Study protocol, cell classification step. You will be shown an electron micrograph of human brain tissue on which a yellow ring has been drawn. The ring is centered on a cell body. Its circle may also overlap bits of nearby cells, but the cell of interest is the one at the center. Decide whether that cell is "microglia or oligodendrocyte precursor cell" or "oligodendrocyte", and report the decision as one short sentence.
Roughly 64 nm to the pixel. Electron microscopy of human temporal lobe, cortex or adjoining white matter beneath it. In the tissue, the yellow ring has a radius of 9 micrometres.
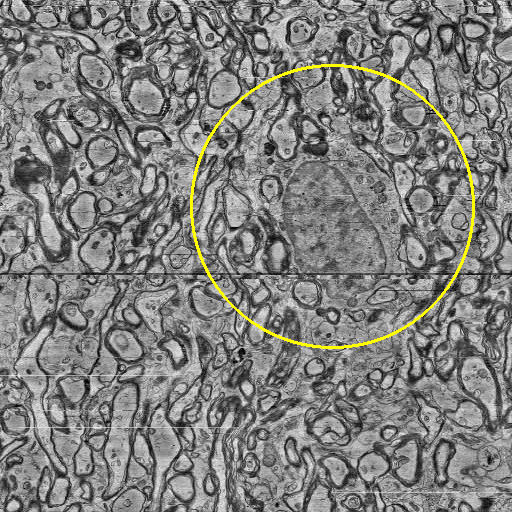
The marked cell is an oligodendrocyte.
